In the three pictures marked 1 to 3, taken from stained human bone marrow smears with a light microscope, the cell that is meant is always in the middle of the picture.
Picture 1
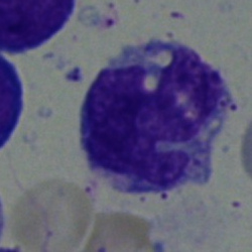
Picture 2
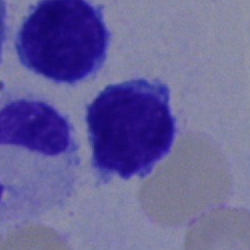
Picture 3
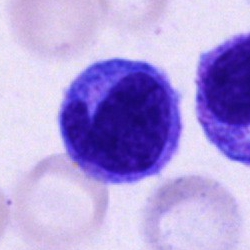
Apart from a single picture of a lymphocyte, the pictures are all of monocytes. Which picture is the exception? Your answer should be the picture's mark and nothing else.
2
